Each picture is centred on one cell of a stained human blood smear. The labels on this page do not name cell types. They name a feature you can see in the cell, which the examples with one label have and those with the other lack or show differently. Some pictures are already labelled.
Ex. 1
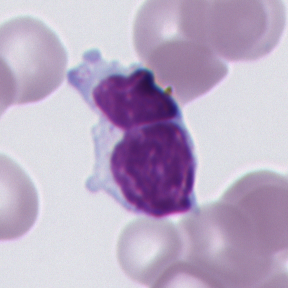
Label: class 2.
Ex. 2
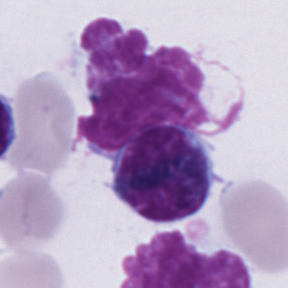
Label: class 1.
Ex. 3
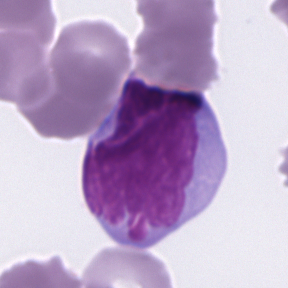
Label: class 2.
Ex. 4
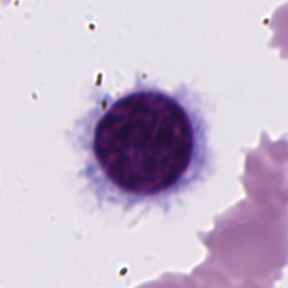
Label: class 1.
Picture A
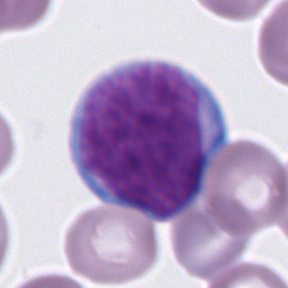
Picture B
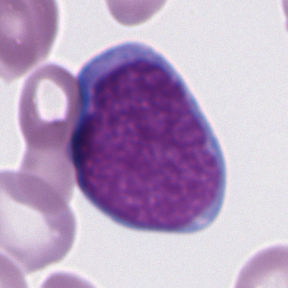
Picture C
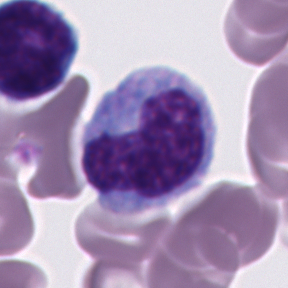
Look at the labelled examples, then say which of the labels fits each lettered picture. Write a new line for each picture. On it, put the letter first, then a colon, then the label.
A: class 1.
B: class 1.
C: class 1.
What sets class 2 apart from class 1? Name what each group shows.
class 2, lobed nucleus; class 1, single compact nucleus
